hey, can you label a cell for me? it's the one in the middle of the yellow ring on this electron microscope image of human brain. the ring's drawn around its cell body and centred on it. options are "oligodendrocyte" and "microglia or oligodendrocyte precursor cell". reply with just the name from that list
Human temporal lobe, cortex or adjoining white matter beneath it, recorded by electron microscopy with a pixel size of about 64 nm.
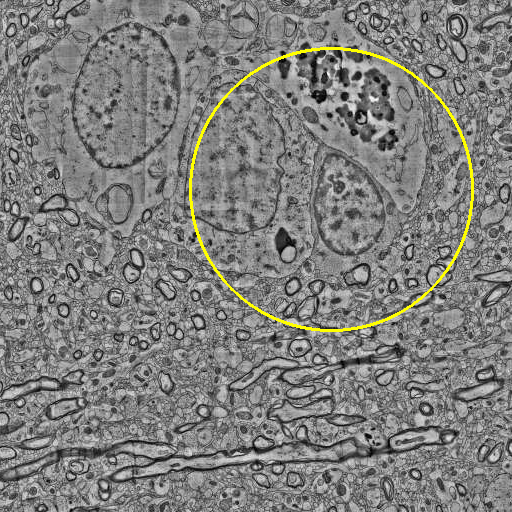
oligodendrocyte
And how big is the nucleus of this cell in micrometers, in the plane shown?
In this plane the nucleus is roughly 7 by 4 micrometres, clearly longer than it is wide.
